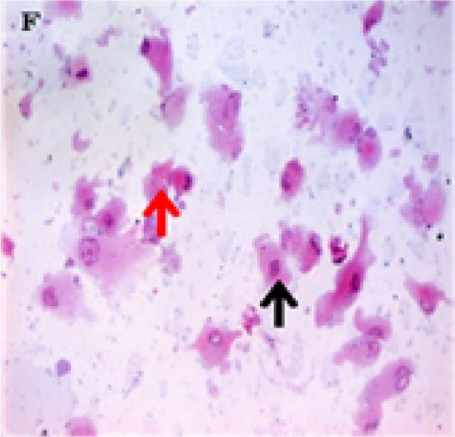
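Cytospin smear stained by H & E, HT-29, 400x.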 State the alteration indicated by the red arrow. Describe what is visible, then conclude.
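Apoptotic and degenerative changes. Surrounding cells have pale, irregular pink cytoplasm with ill-defined borders.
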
